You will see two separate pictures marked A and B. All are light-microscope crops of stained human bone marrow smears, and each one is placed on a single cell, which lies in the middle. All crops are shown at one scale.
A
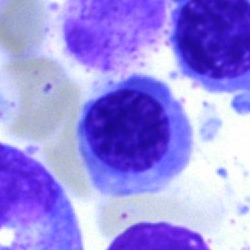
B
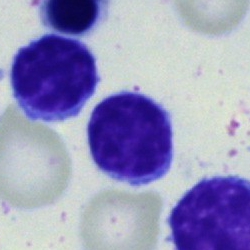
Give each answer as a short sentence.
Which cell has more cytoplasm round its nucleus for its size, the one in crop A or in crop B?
The nucleus fills less of the cell in crop A than in crop B.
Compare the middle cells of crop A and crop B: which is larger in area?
Larger is the cell in crop A, at roughly 1.5 times the area of the other.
